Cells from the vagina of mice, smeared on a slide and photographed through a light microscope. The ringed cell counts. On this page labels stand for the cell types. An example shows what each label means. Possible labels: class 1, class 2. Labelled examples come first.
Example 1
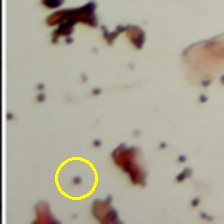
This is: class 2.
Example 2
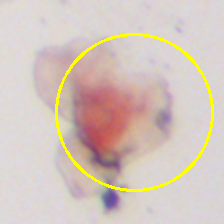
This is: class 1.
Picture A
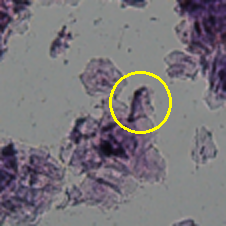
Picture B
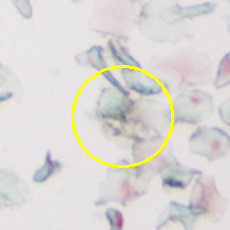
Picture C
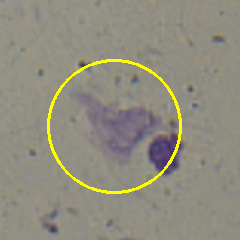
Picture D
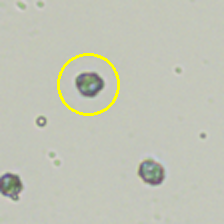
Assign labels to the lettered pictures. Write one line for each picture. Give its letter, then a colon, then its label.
A: class 1.
B: class 1.
C: class 1.
D: class 2.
